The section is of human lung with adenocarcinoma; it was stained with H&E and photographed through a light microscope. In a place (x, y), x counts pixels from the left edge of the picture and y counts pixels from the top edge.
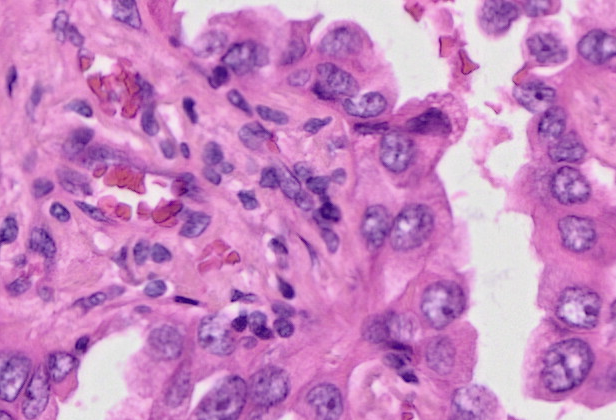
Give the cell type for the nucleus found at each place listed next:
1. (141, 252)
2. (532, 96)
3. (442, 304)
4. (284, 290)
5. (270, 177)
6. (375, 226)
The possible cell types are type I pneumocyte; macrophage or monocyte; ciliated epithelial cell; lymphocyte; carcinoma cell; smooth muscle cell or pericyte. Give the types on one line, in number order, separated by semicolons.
lymphocyte; carcinoma cell; carcinoma cell; lymphocyte; lymphocyte; carcinoma cell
